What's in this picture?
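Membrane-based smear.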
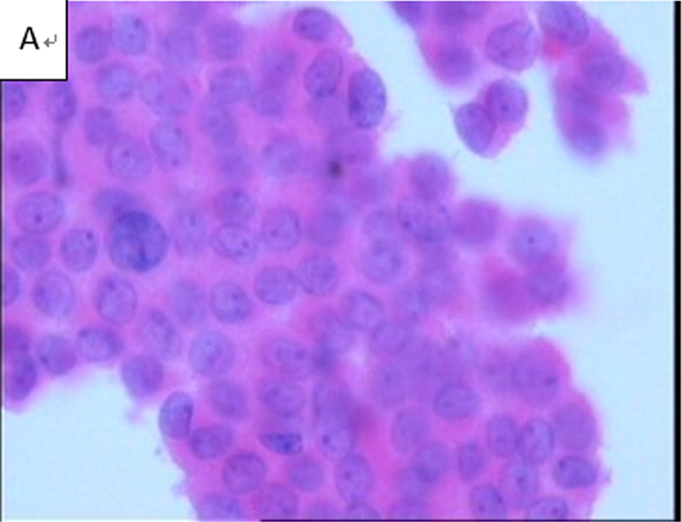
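A crowded, cohesive sheet of epithelial cells with overlapping round to oval nuclei lies in pink cytoplasm. The nuclei are pale purple with fine chromatin, and many hold a small dark nucleolus, often placed off-centre. The nuclei vary in size and outline, and one in the left part of the cluster is clearly larger and darker than its neighbours. Cell borders are indistinct, so the cytoplasm forms a continuous pink field. A few cells at the upper edge have separated into a small detached group.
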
